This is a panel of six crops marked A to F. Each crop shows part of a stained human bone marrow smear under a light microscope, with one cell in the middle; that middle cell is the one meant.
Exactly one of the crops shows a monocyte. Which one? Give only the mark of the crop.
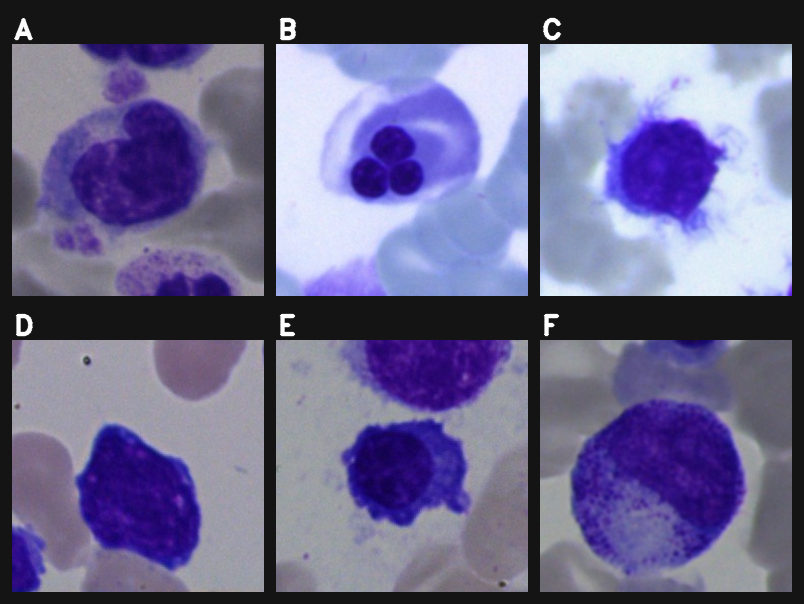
A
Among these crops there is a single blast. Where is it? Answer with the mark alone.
D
